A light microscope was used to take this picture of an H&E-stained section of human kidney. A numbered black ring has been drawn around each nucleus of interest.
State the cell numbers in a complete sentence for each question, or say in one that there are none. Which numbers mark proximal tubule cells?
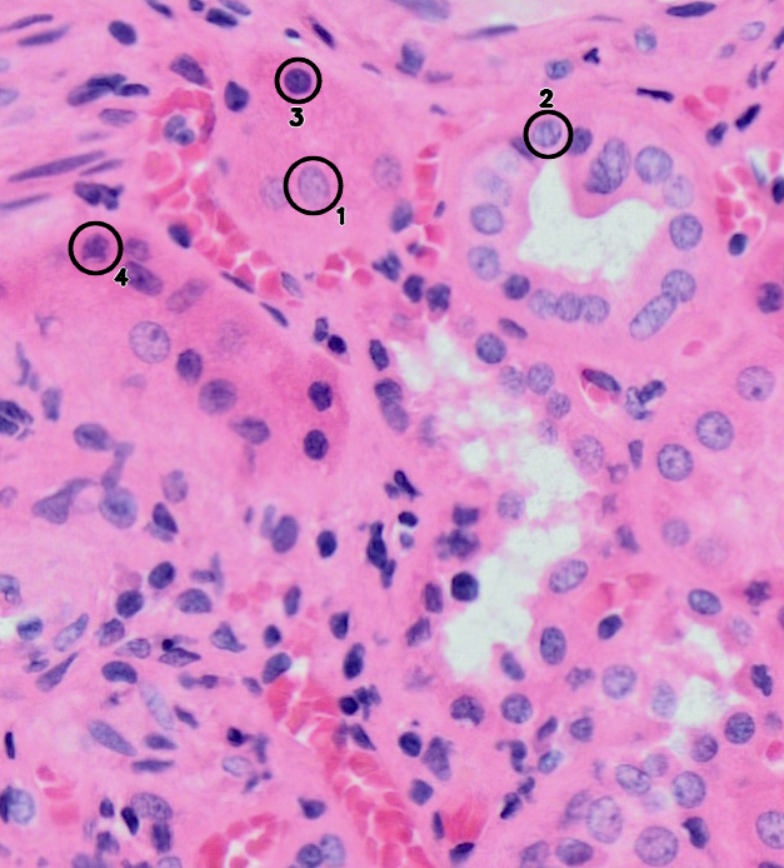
The cells that bear the numbers 1, 3 and 4 are proximal tubule cells.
